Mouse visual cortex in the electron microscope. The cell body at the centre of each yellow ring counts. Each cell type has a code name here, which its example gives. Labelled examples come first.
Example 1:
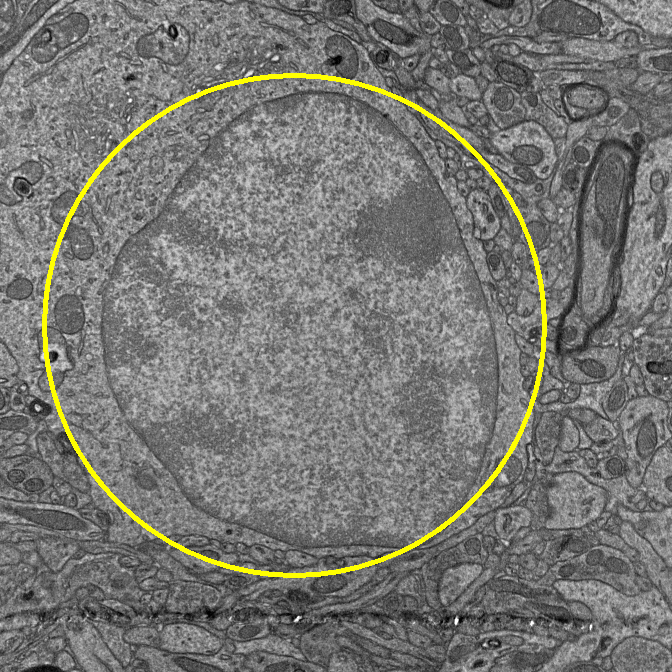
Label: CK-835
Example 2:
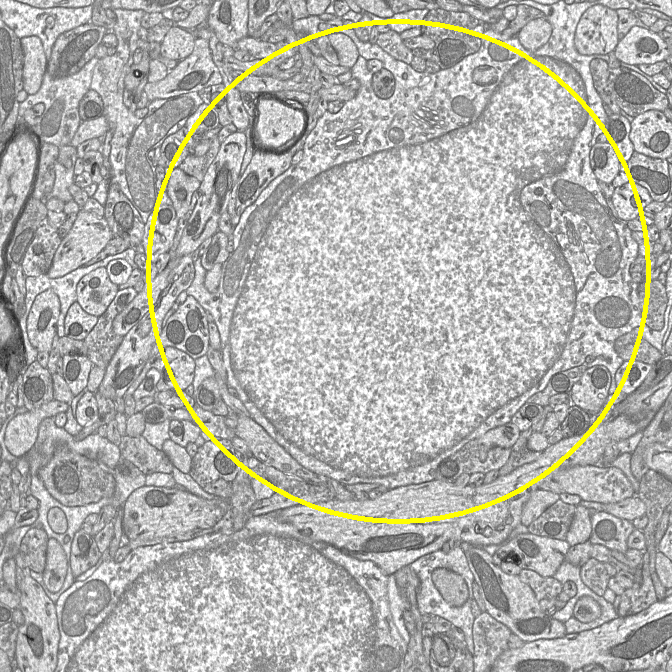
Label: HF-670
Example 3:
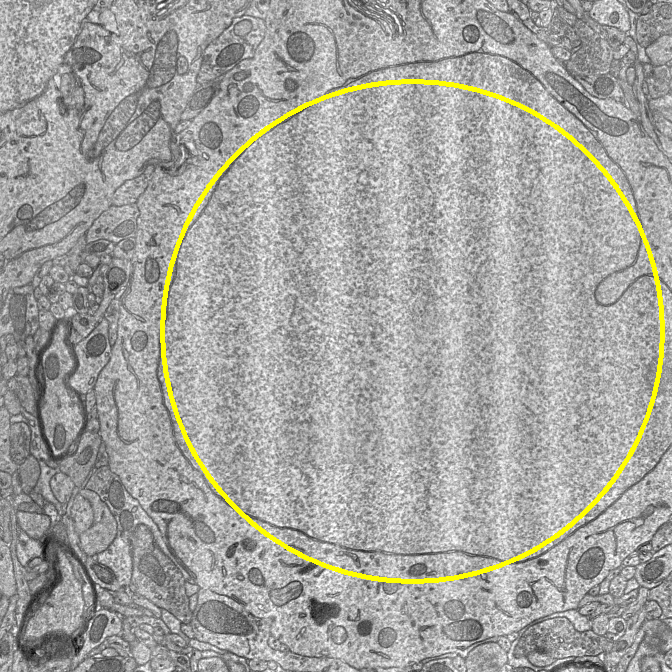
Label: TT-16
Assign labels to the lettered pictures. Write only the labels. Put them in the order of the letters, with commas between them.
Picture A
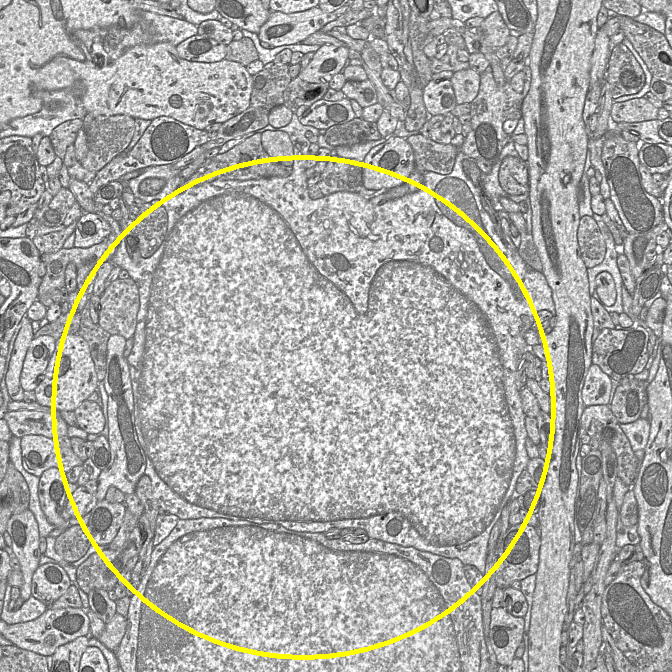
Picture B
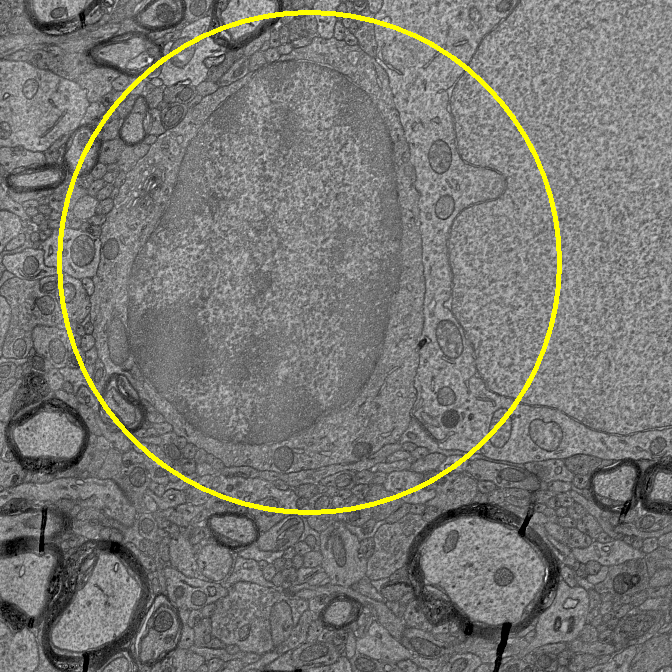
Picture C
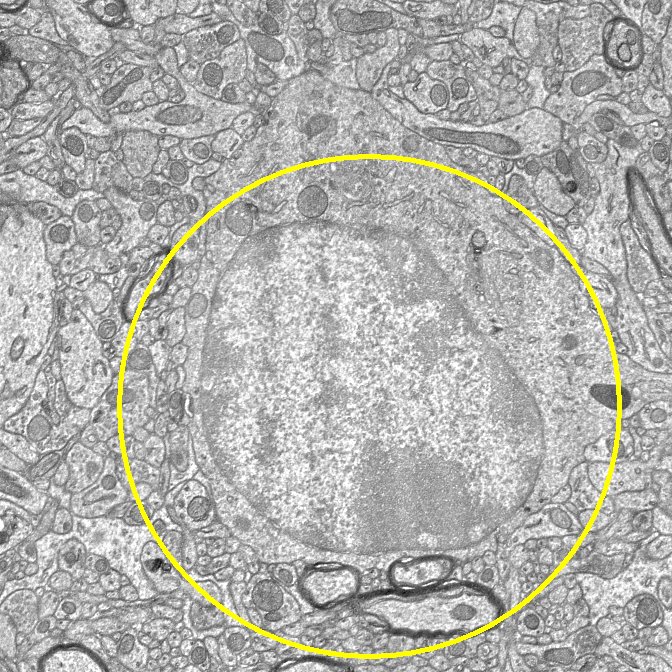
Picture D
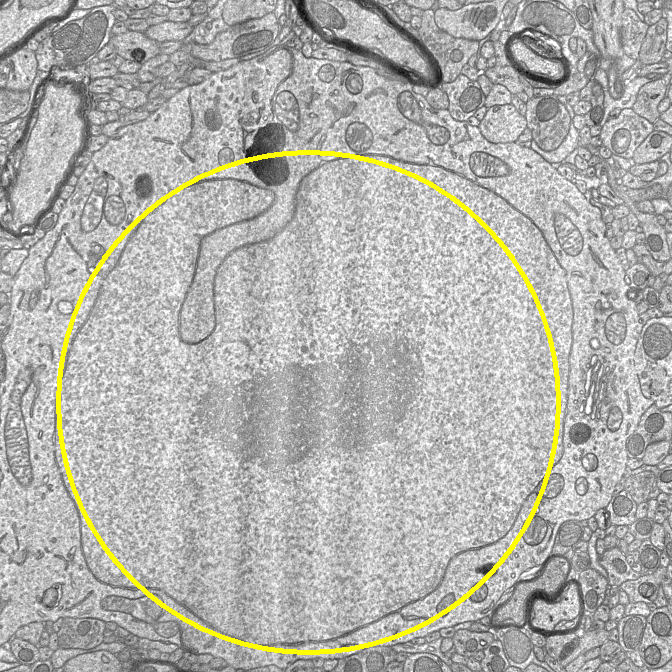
HF-670, CK-835, CK-835, TT-16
